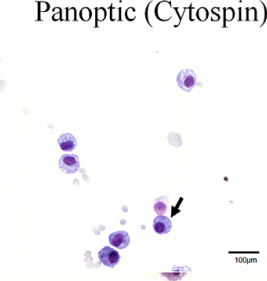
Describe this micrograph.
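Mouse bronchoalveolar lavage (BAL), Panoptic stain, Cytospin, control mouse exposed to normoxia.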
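Most cells have one round, deep purple nucleus surrounded by a band of paler violet or pinkish cytoplasm. The cells are fairly uniform in size and shape. No cells with lobed or segmented nuclei are evident.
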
